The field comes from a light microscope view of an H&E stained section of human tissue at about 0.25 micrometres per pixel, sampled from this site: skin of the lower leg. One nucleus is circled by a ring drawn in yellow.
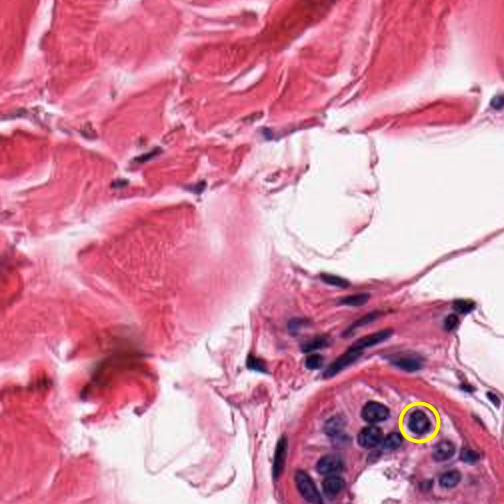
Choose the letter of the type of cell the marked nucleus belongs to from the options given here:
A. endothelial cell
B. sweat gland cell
B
